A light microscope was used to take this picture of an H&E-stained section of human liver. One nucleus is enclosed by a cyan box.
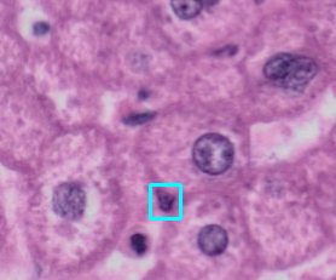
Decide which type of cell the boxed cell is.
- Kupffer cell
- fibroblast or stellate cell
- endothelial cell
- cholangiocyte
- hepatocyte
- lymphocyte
fibroblast or stellate cell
